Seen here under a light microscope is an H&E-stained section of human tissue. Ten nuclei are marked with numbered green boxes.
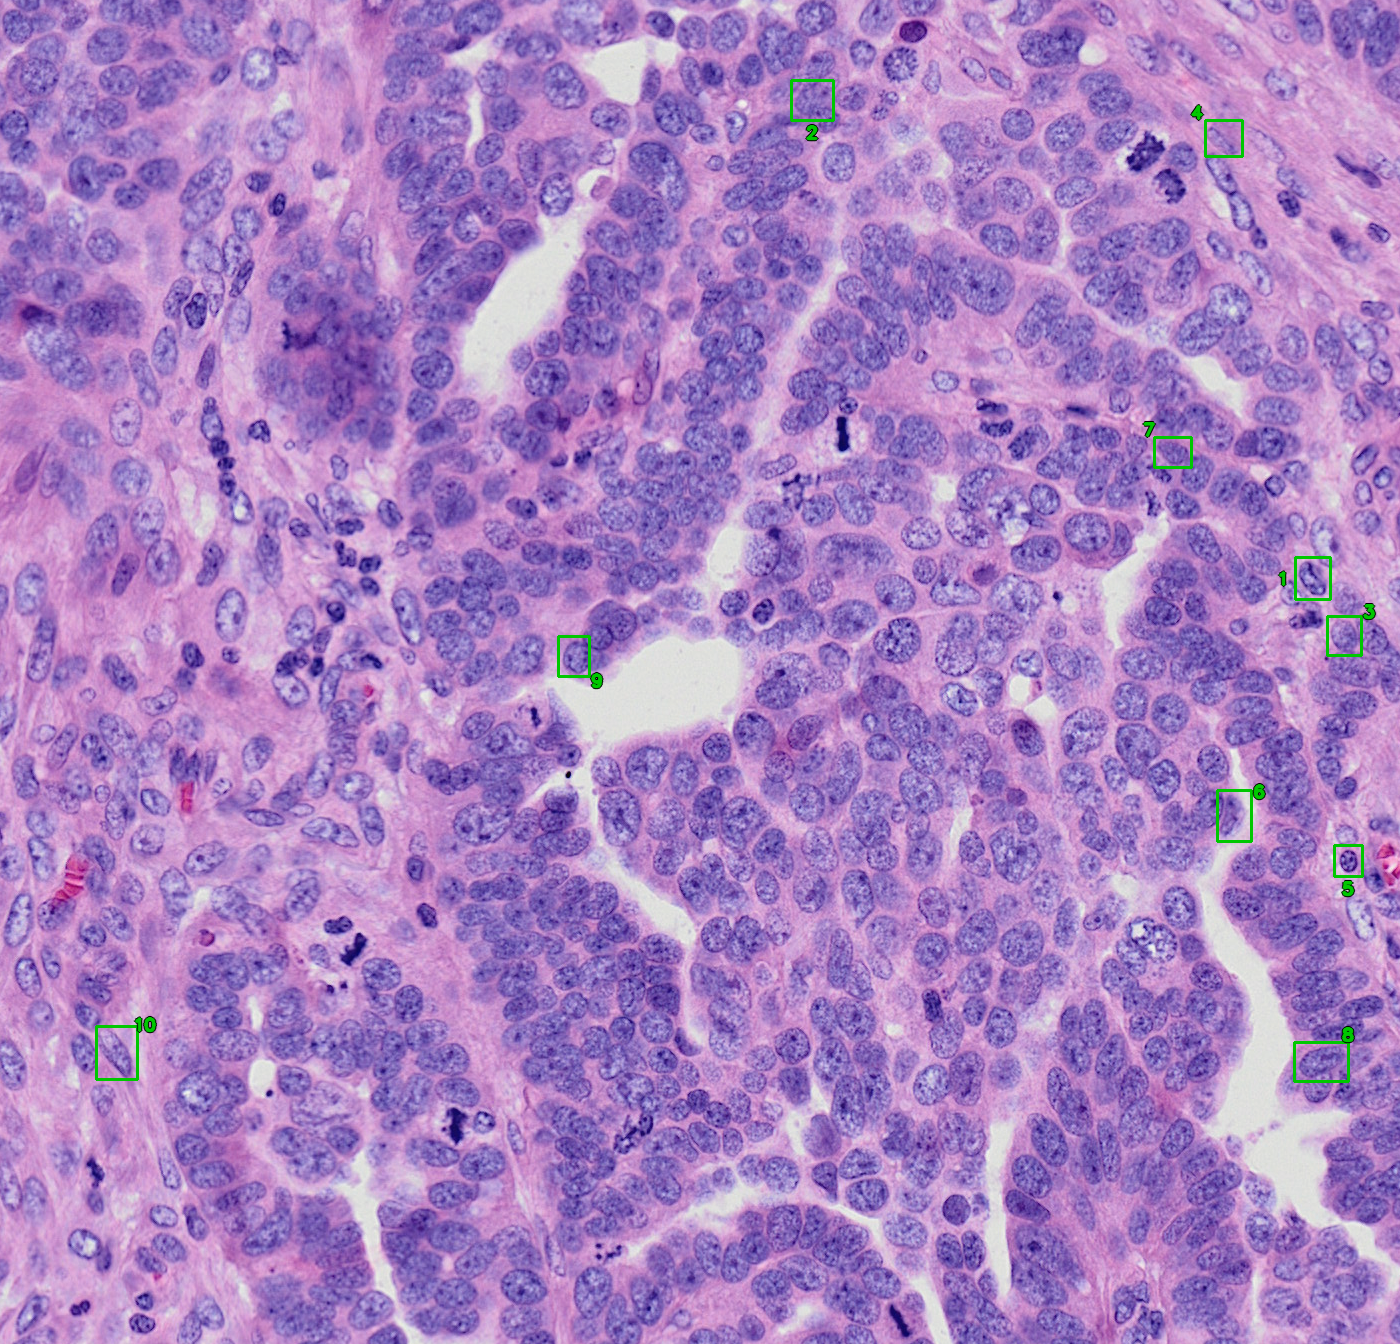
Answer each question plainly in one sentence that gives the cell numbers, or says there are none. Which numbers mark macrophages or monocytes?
Among all the marked cells, a macrophage or monocyte is found only at number 1.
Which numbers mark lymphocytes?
It is cell 5, and no other numbered cell, that is a lymphocyte.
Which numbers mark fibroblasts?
The cells tagged with numbers 4 and 10 are fibroblasts.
